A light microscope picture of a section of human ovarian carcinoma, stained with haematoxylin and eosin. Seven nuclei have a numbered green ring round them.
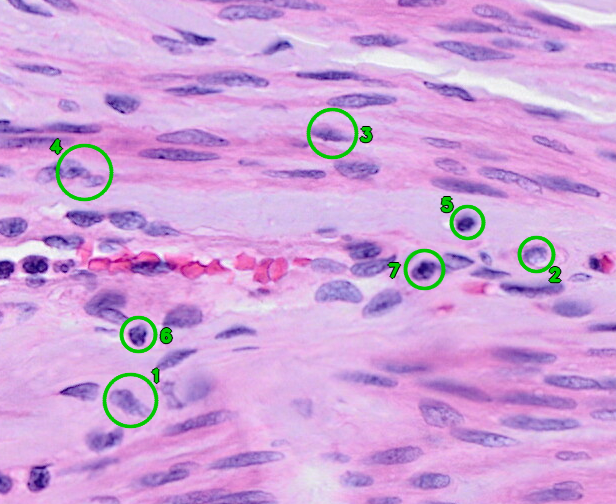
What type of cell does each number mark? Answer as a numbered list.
1. fibroblast
2. endothelial cell
3. smooth muscle cell
4. smooth muscle cell
5. lymphocyte
6. lymphocyte
7. lymphocyte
